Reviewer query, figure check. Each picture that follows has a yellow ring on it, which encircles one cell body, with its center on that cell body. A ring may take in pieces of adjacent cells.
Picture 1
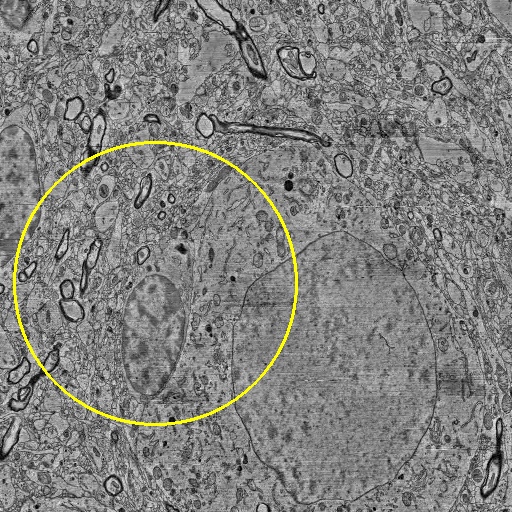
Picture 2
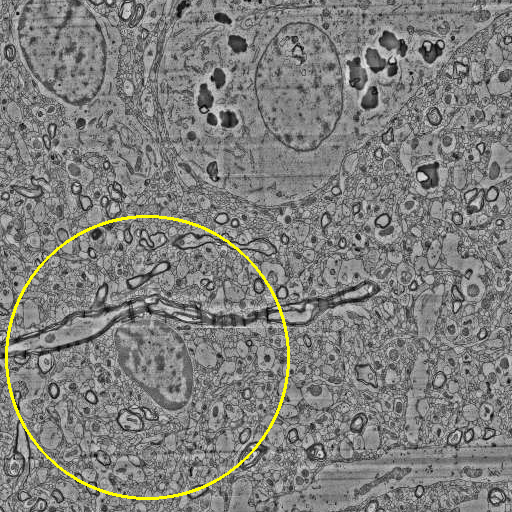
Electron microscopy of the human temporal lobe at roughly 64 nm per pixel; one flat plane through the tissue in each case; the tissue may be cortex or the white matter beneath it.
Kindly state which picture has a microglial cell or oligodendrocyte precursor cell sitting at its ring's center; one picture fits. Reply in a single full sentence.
In picture 2, the cell at the center of the ring is the requested one.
